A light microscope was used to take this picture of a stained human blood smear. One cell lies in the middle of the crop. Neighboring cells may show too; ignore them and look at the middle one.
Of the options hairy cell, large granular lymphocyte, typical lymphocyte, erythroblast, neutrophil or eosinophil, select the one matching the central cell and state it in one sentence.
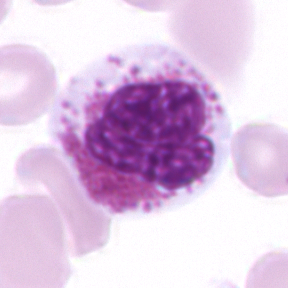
The central element of this crop is a cell, namely an eosinophil.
